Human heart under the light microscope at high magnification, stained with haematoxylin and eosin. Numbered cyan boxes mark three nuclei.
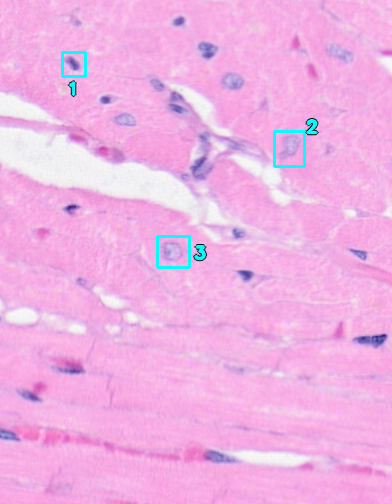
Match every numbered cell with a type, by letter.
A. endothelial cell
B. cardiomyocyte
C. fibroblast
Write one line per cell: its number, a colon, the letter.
1: A
2: B
3: B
